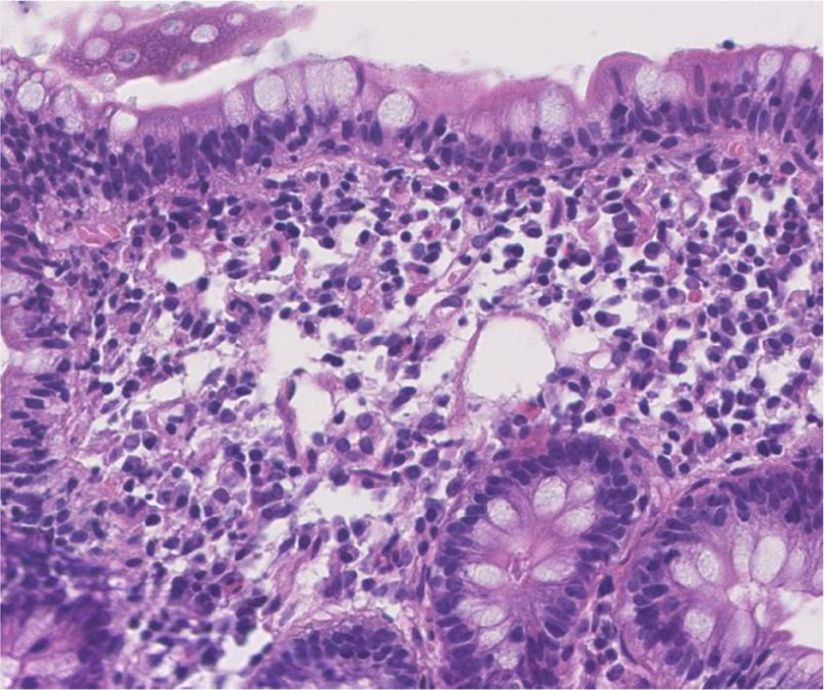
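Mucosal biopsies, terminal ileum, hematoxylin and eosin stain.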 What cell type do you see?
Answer: plasma cells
